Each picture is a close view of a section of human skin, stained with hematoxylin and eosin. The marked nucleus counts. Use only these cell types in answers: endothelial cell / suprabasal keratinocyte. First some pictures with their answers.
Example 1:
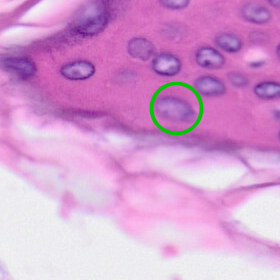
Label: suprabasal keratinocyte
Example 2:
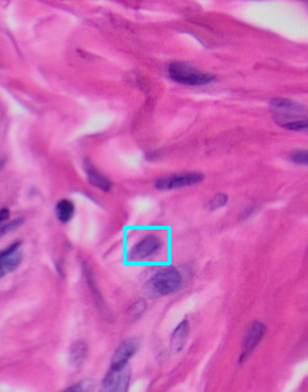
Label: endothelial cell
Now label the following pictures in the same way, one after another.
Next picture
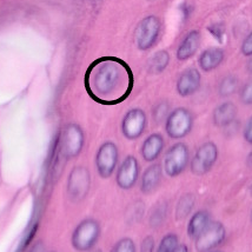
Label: suprabasal keratinocyte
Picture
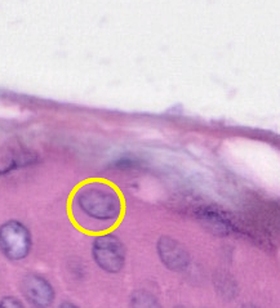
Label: suprabasal keratinocyte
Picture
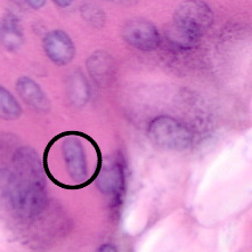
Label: suprabasal keratinocyte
